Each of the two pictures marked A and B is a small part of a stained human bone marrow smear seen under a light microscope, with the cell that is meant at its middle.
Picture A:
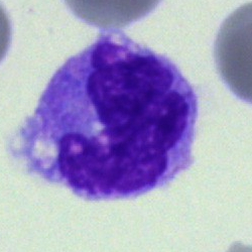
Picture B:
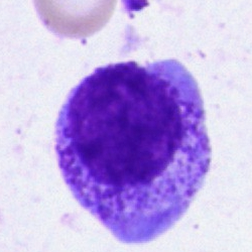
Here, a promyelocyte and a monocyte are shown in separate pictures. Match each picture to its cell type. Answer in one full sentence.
The cell in picture A is a monocyte, and the one in picture B is a promyelocyte.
